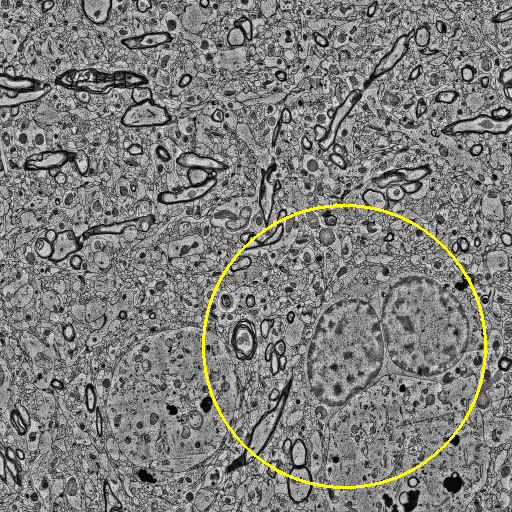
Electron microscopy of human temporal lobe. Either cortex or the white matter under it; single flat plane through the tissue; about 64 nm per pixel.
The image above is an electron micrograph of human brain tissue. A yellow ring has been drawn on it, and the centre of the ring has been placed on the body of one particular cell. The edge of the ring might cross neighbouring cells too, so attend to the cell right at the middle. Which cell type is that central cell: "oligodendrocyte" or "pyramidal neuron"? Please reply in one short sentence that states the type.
The central cell in the ring is an oligodendrocyte.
